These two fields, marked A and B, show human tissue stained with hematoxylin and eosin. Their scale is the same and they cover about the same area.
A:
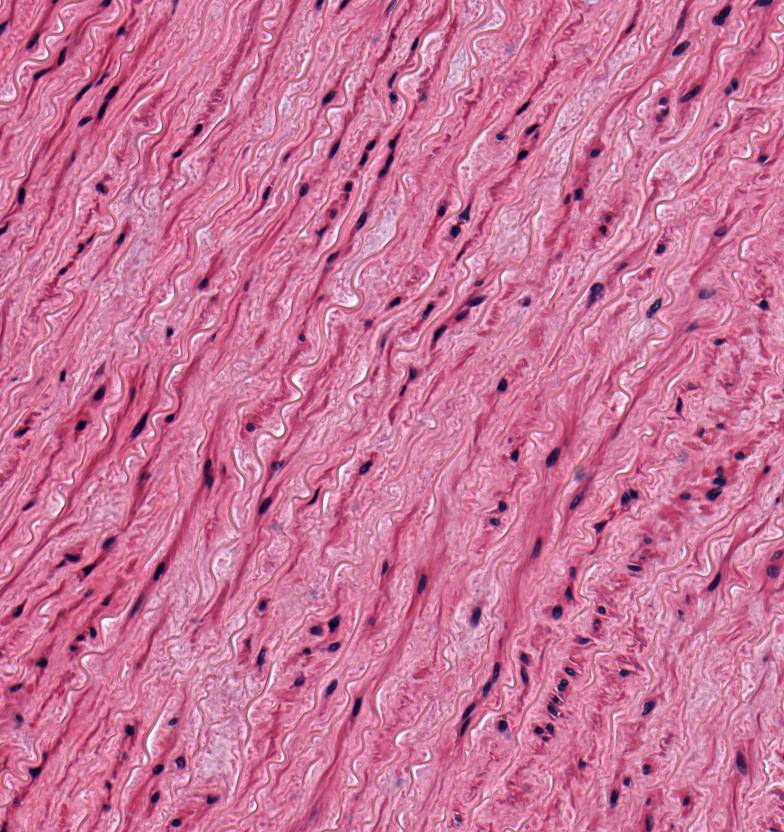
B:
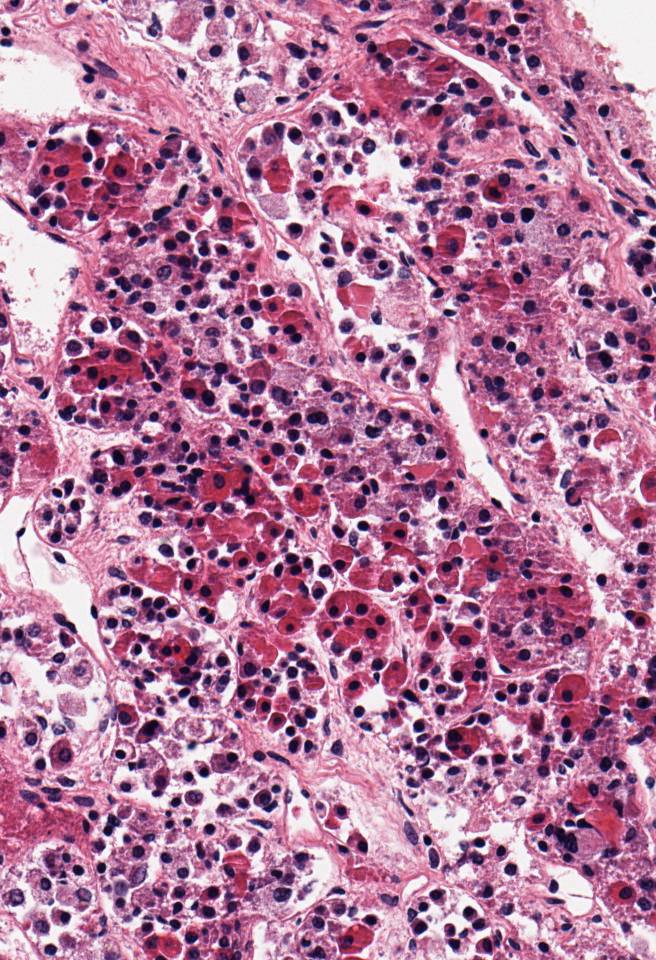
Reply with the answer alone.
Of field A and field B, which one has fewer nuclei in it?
A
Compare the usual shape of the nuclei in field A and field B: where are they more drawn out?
A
